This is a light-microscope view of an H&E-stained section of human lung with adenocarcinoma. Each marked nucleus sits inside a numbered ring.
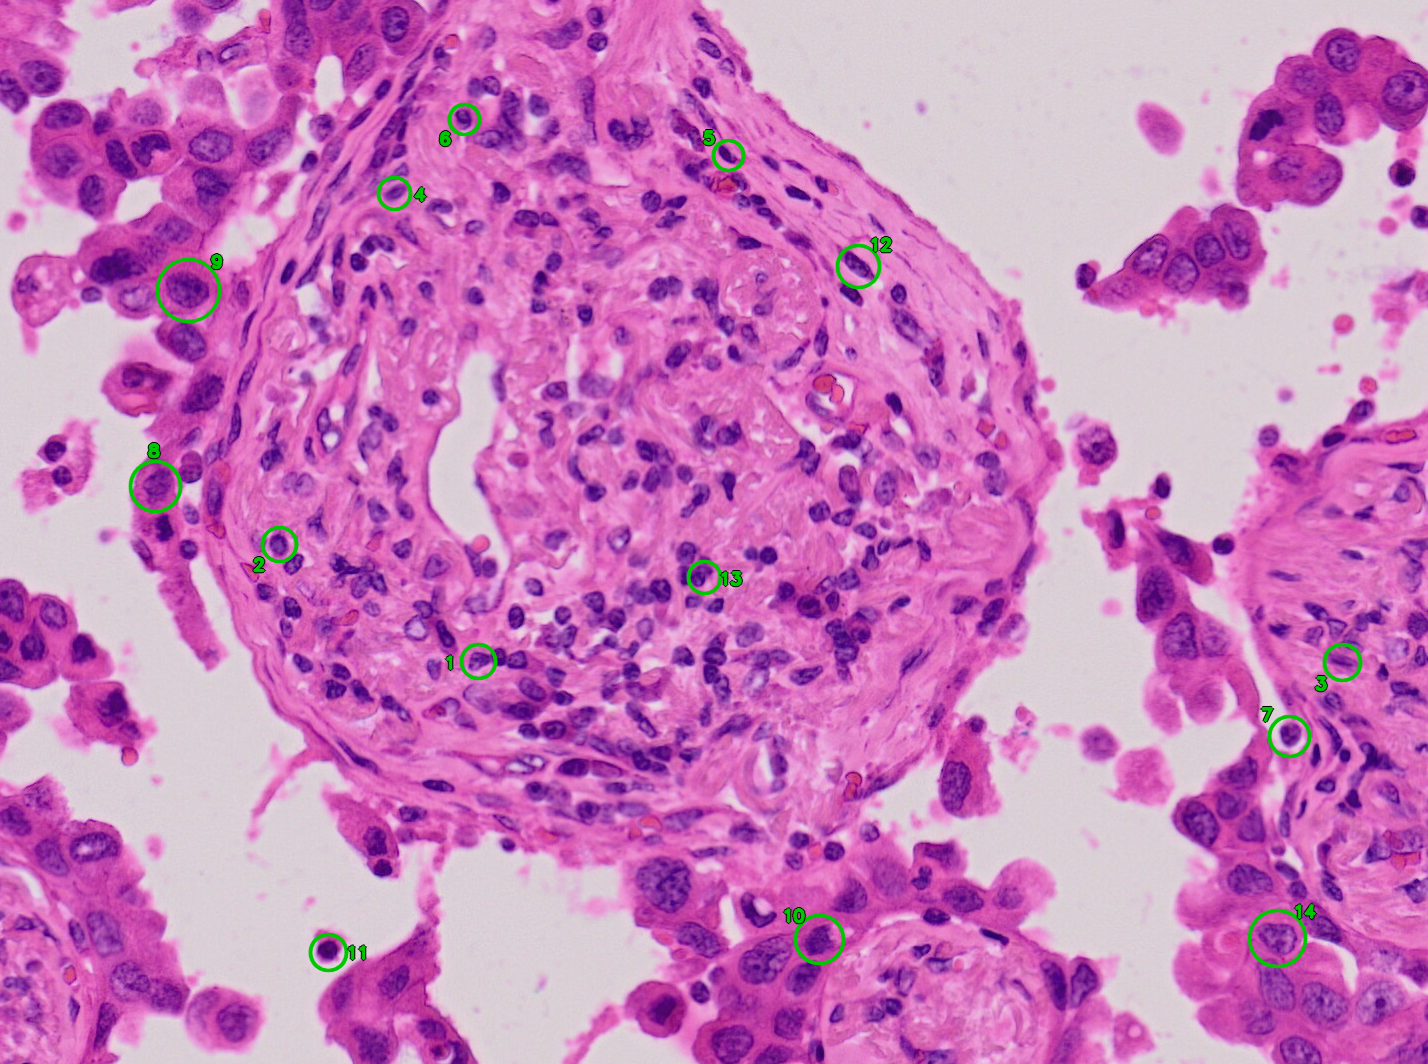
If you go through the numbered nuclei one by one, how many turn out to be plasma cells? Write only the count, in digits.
3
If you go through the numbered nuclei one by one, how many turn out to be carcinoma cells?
4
